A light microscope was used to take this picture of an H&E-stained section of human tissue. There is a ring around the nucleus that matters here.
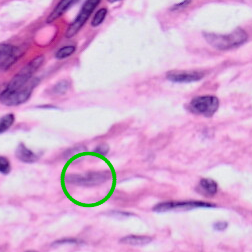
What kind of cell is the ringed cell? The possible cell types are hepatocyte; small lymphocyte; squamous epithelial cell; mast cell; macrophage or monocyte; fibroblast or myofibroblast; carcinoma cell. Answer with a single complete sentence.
The cell type represented by the ringed cell is that of a fibroblast or myofibroblast.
